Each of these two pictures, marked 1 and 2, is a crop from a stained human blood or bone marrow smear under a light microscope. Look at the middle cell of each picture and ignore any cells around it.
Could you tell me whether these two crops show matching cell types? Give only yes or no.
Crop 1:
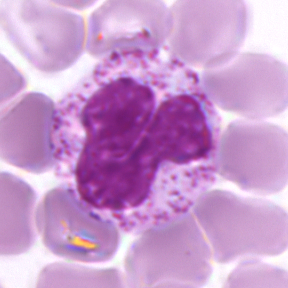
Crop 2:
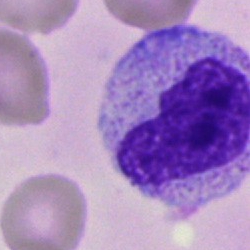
no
